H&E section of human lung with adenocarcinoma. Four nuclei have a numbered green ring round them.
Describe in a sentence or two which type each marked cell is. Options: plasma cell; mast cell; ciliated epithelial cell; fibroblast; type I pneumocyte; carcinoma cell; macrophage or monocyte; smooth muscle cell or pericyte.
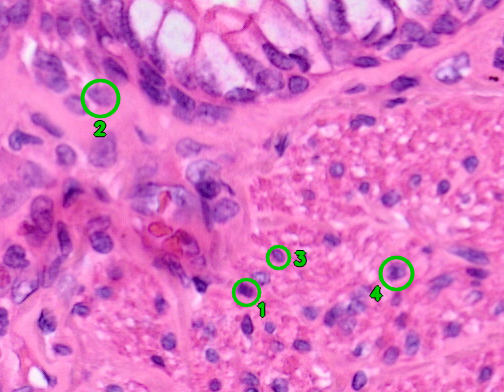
Cells 1, 3 and 4 are smooth muscle cells or pericytes. Cell 2 is a ciliated epithelial cell.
